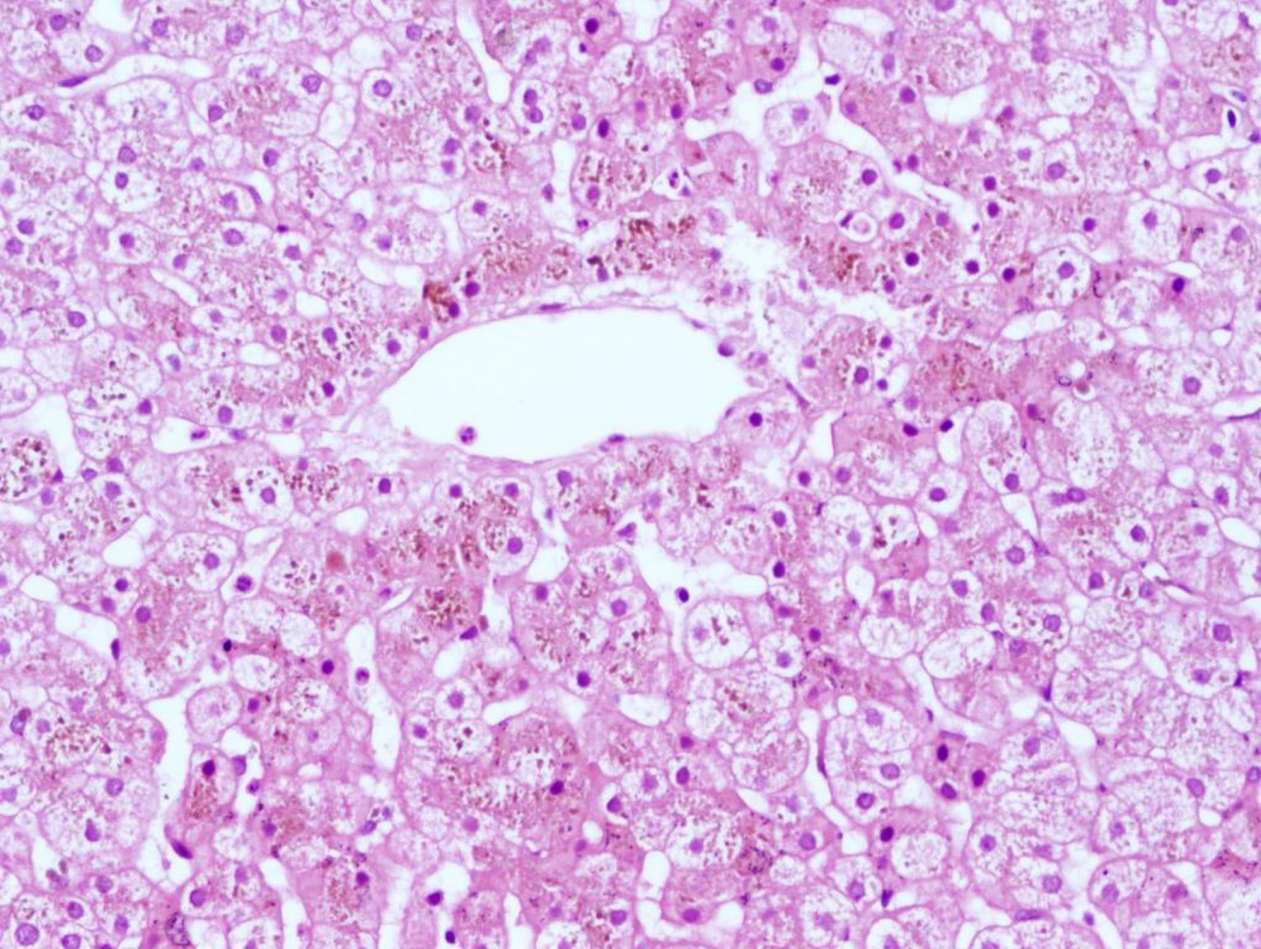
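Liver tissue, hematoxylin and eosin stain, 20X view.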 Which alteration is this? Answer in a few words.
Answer: Brown coarse granular intracytoplasmic pigments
